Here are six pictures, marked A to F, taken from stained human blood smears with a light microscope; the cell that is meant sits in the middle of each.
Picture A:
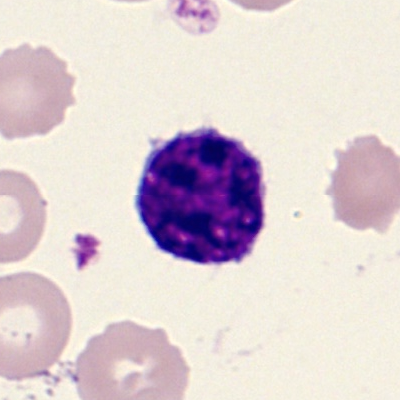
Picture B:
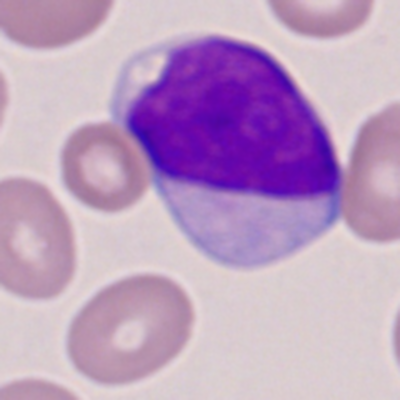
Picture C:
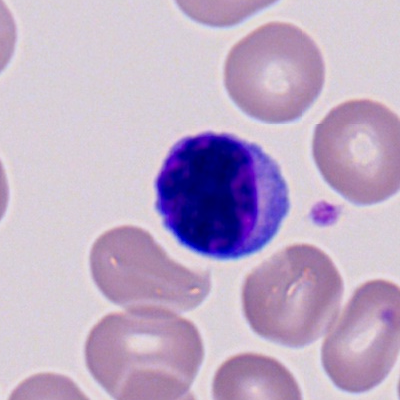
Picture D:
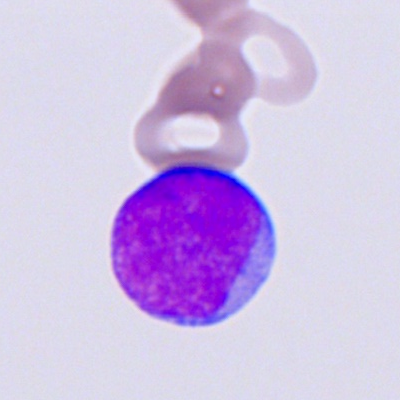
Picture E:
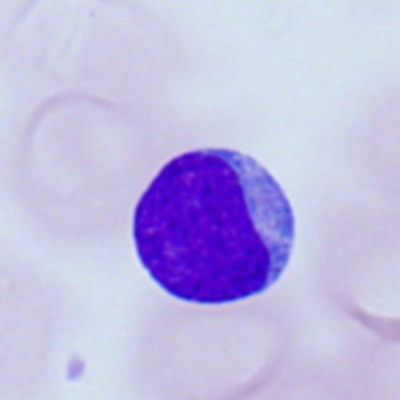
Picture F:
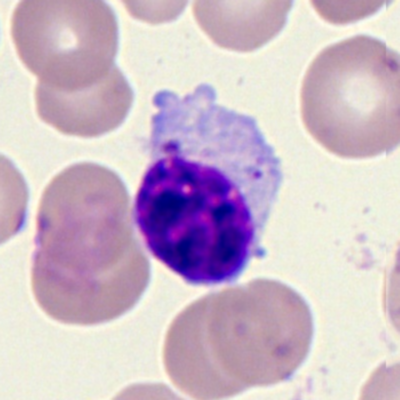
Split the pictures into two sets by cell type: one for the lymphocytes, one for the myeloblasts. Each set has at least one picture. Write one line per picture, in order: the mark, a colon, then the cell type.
A: lymphocyte
B: myeloblast
C: lymphocyte
D: myeloblast
E: myeloblast
F: lymphocyte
